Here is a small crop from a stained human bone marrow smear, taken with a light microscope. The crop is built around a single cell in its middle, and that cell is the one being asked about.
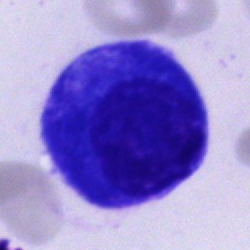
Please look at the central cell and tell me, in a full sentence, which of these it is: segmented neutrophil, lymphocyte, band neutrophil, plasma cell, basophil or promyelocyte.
On this slide crop, the central cell is a plasma cell.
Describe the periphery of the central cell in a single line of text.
Expected answer: a smooth cell outline without projections of any sort.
